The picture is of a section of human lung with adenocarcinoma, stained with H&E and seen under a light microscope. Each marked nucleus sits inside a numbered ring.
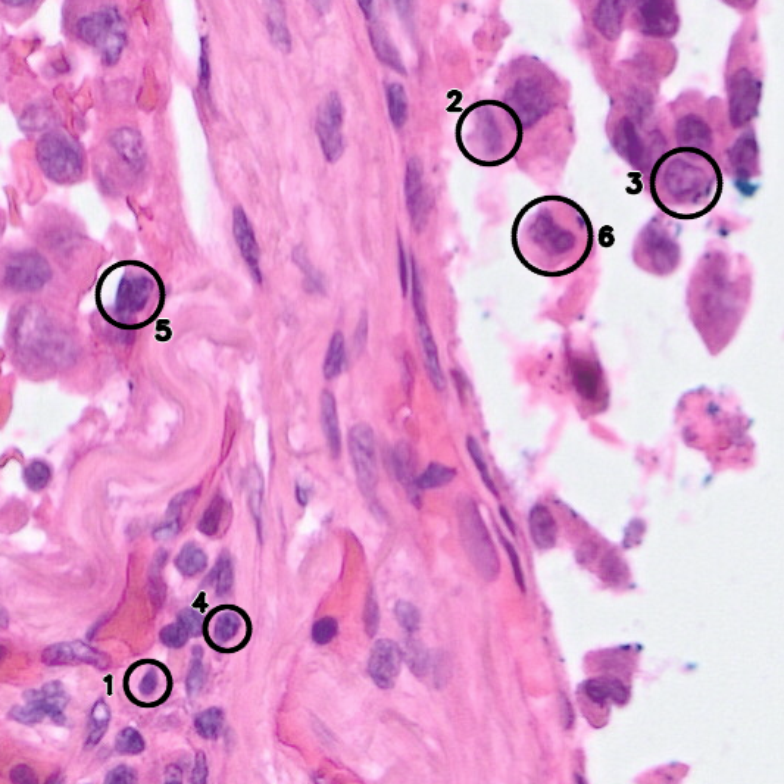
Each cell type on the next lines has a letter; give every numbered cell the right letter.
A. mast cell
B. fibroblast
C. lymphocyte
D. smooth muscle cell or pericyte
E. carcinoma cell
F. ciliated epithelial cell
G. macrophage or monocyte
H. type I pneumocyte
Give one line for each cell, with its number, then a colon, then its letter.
1: C
2: E
3: E
4: C
5: E
6: E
